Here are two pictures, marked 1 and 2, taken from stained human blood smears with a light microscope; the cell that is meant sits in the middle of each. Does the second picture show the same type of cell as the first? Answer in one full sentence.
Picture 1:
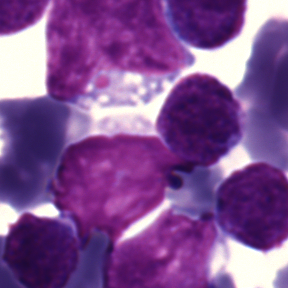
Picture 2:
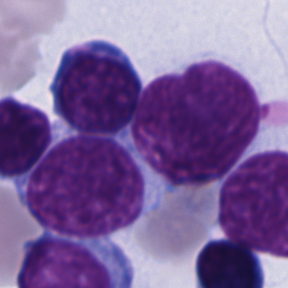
Yes, the two pictures both show myeloblasts.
